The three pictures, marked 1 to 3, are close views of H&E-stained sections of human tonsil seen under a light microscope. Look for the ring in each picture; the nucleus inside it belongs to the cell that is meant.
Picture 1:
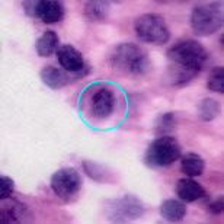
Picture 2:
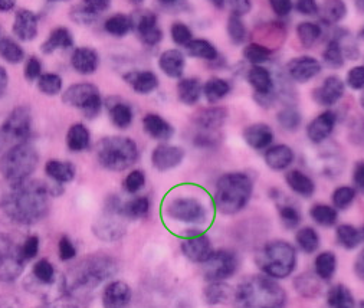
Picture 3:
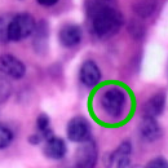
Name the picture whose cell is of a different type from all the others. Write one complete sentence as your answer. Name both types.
The different one is picture 2; it shows a proliferating B cell, whereas all the others show plasma cells.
